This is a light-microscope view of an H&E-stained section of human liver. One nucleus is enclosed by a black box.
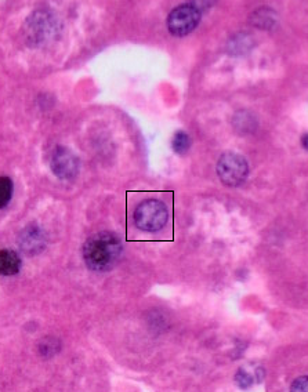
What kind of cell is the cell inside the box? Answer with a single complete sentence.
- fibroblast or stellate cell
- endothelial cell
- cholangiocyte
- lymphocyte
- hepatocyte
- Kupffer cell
The cell inside the box is a hepatocyte.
